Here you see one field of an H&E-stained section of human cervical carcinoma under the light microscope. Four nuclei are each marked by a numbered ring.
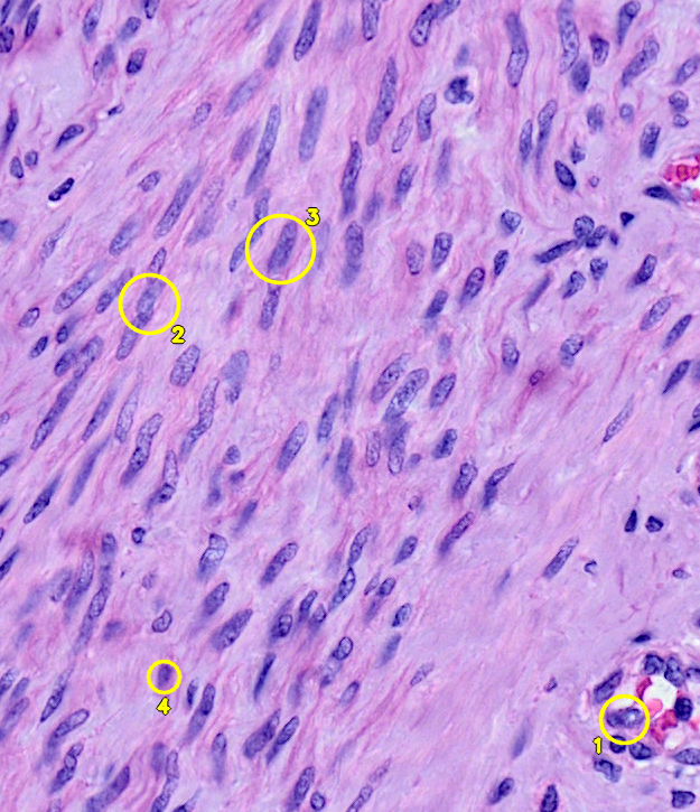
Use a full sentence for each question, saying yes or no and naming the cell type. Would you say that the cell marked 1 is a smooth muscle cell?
No, cell 1 is correctly identified as an endothelial cell and not as a smooth muscle cell.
